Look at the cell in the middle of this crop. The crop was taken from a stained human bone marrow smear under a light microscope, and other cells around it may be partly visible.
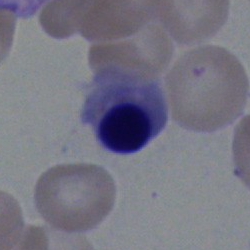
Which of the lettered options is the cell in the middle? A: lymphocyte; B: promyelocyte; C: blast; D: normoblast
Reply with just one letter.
D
